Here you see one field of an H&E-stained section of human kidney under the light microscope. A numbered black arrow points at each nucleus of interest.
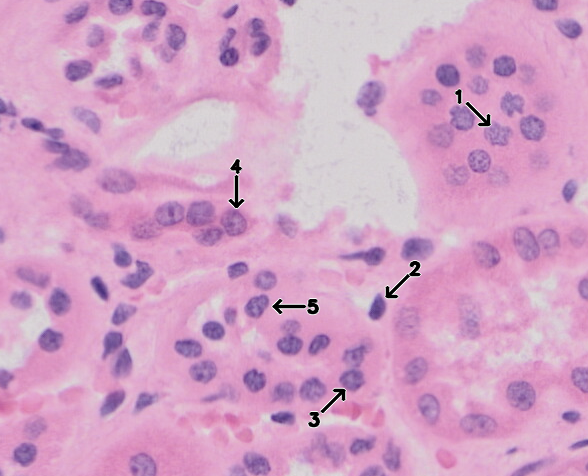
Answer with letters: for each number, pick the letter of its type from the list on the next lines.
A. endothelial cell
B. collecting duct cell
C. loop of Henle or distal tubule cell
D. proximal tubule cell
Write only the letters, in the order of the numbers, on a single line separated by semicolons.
C; A; B; D; B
